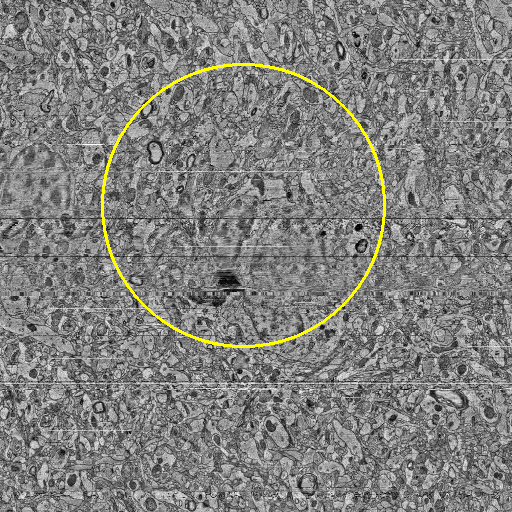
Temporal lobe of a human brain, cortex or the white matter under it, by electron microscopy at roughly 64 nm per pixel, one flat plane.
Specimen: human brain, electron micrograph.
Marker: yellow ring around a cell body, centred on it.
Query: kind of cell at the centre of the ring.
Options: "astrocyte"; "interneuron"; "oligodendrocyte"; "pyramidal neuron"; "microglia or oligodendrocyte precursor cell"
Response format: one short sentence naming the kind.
This cell body belongs to an oligodendrocyte.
